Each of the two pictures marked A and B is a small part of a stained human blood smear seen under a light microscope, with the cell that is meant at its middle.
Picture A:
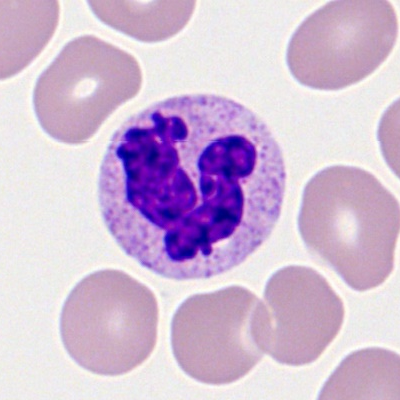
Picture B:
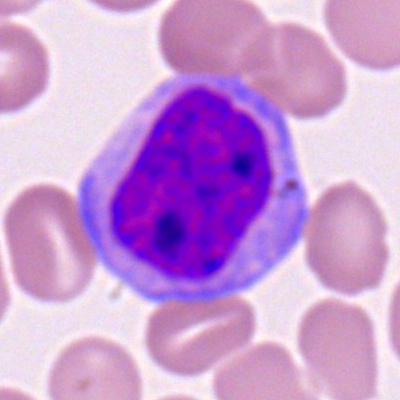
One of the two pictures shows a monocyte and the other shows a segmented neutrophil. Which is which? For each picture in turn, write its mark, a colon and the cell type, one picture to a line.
A: segmented neutrophil
B: monocyte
